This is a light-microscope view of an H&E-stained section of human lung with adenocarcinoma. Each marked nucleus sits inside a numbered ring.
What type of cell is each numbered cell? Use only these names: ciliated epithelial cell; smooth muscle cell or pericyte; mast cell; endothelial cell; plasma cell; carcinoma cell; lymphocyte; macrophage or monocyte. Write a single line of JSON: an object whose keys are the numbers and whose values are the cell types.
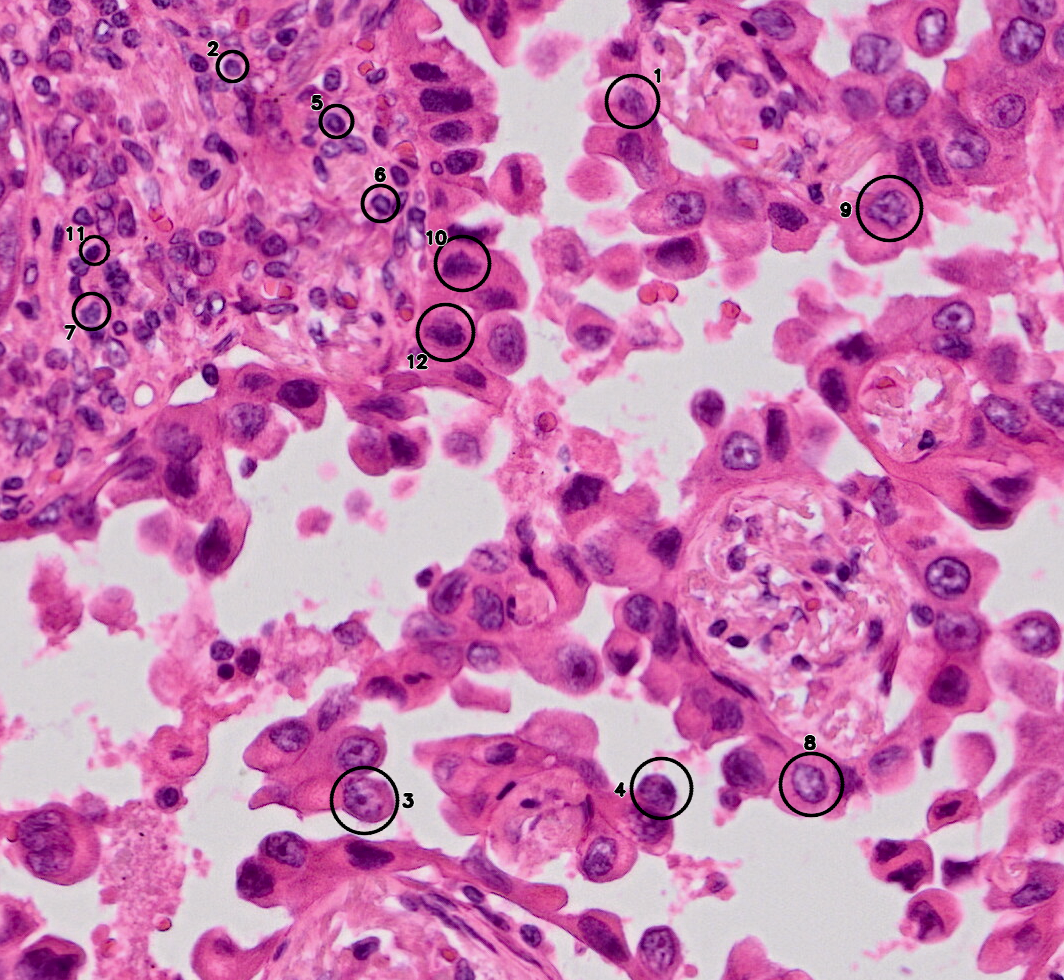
{"1": "carcinoma cell", "2": "lymphocyte", "3": "carcinoma cell", "4": "carcinoma cell", "5": "lymphocyte", "6": "lymphocyte", "7": "lymphocyte", "8": "carcinoma cell", "9": "carcinoma cell", "10": "carcinoma cell", "11": "lymphocyte", "12": "carcinoma cell"}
